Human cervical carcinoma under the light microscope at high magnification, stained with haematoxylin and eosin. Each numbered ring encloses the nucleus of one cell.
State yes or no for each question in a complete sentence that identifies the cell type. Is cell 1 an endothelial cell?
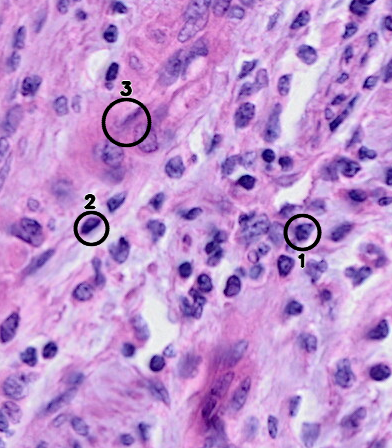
No, it is not an endothelial cell that bears number 1 but a lymphocyte.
